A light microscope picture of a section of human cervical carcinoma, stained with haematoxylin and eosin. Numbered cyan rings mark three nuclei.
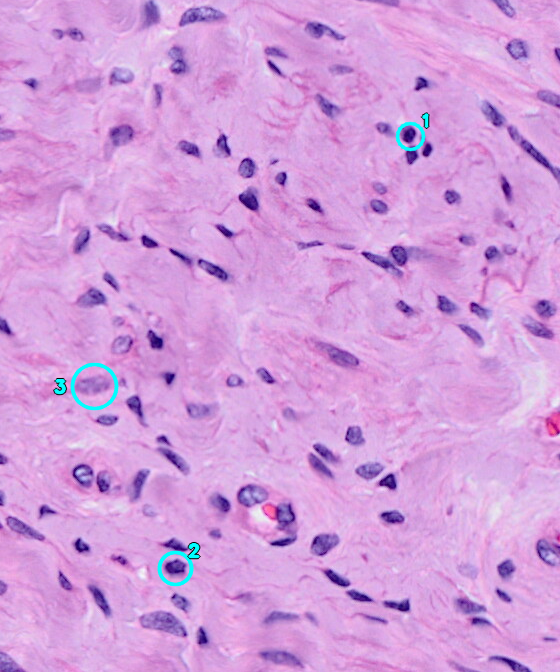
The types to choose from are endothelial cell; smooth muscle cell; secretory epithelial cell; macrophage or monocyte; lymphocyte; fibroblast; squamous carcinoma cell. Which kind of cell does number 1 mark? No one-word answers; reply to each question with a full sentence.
Of the numbered cells, the one labelled 1 is a lymphocyte.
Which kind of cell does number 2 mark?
The cell that bears the number 2 is a fibroblast.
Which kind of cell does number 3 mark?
The cell indicated by marker 3 is a smooth muscle cell in this section.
